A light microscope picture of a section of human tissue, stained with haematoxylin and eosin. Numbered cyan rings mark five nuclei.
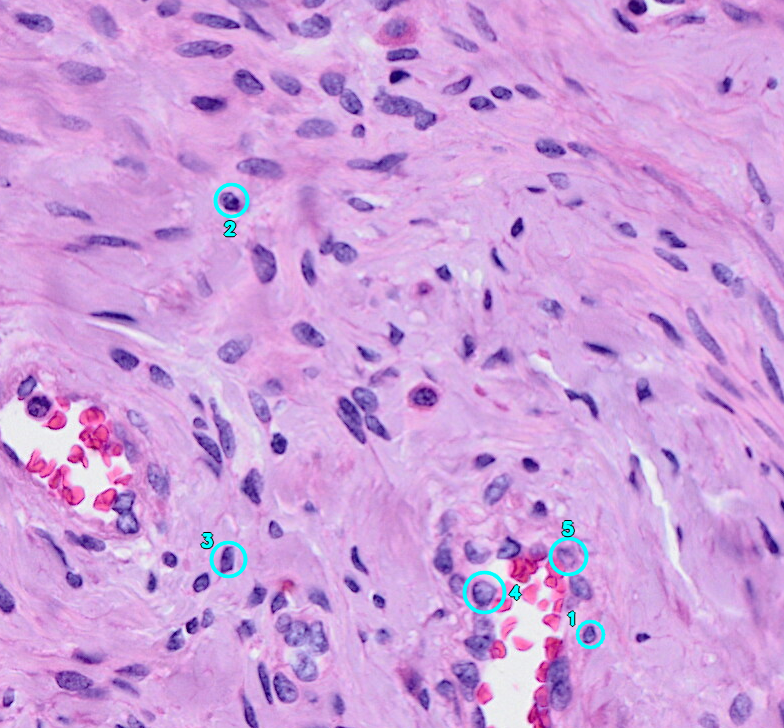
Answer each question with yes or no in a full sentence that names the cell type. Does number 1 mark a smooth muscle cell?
Yes, what number 1 marks is a smooth muscle cell.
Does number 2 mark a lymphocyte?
Yes, the cell marked by the number 2 is a lymphocyte.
